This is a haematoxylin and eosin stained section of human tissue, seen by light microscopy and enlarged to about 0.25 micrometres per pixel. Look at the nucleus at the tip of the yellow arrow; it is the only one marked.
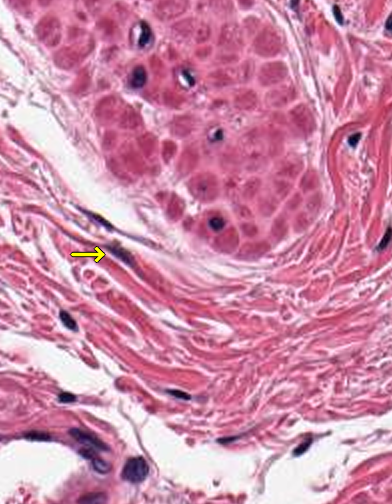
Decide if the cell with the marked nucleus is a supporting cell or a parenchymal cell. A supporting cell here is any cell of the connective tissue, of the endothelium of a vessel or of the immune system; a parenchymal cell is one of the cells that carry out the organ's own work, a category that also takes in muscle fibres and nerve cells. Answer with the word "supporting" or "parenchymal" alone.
supporting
